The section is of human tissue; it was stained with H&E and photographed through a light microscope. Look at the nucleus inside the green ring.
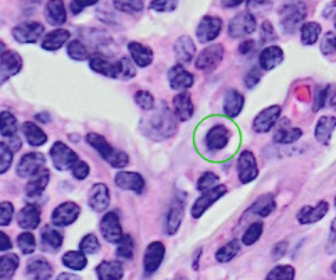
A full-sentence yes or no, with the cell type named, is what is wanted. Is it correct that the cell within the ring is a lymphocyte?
Yes, a lymphocyte is the identity of the cell within the ring in this section.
